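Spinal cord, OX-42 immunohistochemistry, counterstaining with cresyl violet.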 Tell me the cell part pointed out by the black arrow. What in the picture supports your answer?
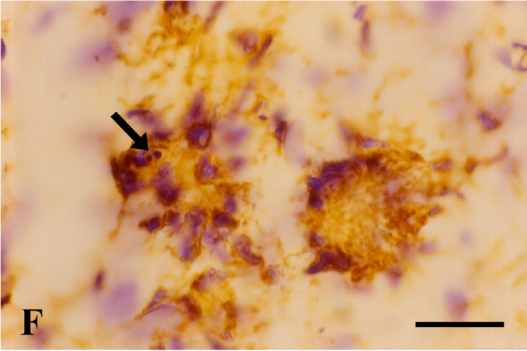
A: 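Apoptotic microglial nucleus. The arrow points to a small, dense, dark fragmented nucleus. It lies among the purple nuclei at the edge of a large brown cell mass.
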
